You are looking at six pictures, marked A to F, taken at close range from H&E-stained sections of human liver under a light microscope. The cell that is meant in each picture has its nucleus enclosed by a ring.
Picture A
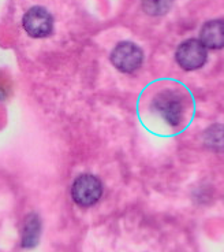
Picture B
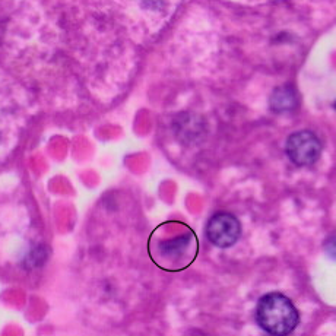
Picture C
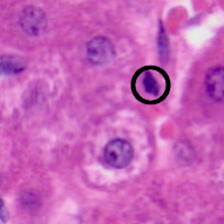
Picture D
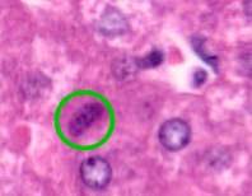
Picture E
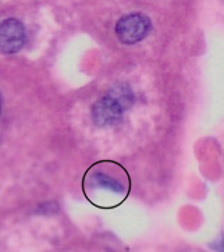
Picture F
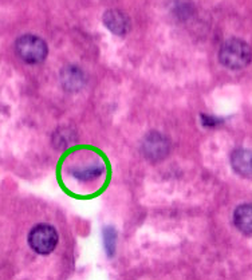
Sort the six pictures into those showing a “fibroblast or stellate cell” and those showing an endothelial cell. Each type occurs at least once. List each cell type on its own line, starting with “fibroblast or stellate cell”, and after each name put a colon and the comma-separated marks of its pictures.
fibroblast or stellate cell: C, D
endothelial cell: A, B, E, F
